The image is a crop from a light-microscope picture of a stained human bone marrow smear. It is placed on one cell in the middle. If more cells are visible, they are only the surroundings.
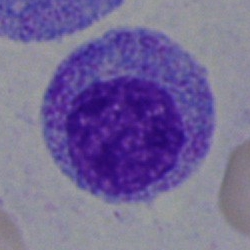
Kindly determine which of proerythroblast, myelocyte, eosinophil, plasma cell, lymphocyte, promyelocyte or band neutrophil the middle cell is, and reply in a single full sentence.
Seen at the centre of the crop is a myelocyte.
